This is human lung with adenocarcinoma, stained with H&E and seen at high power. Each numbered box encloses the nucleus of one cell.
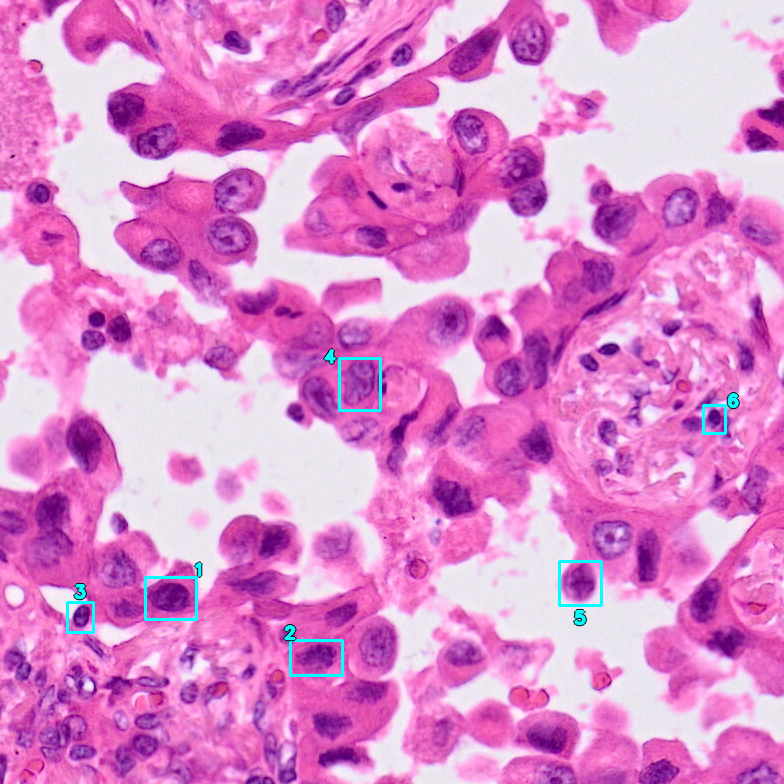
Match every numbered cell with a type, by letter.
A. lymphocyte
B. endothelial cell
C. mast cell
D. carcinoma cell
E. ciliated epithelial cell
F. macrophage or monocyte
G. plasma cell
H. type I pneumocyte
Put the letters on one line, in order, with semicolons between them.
D; D; A; D; D; A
